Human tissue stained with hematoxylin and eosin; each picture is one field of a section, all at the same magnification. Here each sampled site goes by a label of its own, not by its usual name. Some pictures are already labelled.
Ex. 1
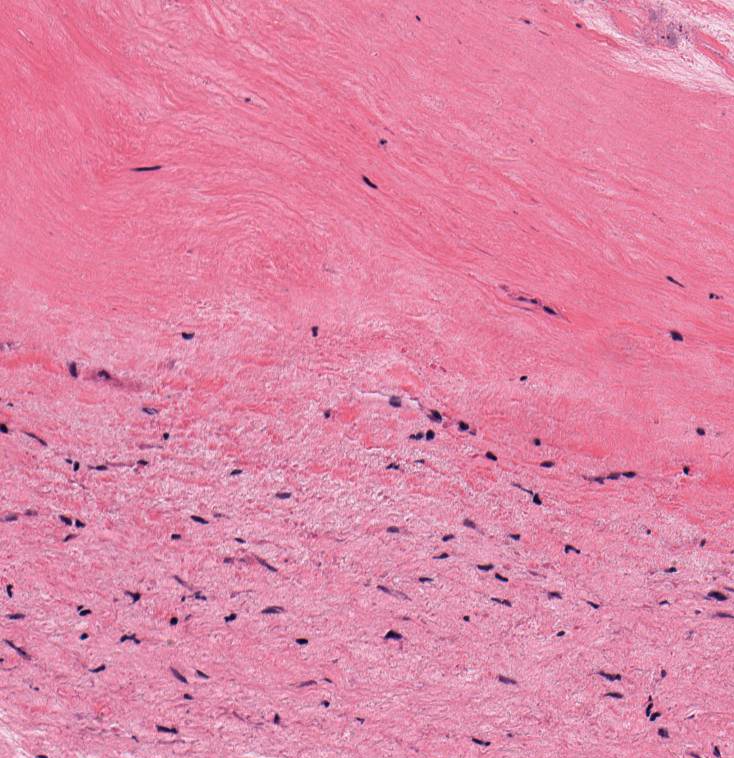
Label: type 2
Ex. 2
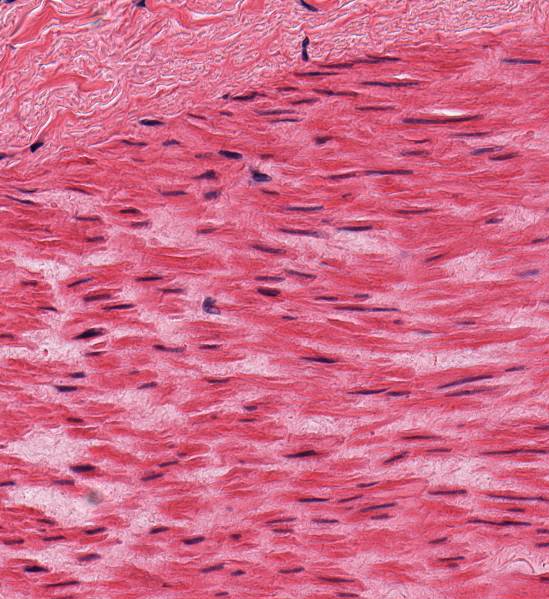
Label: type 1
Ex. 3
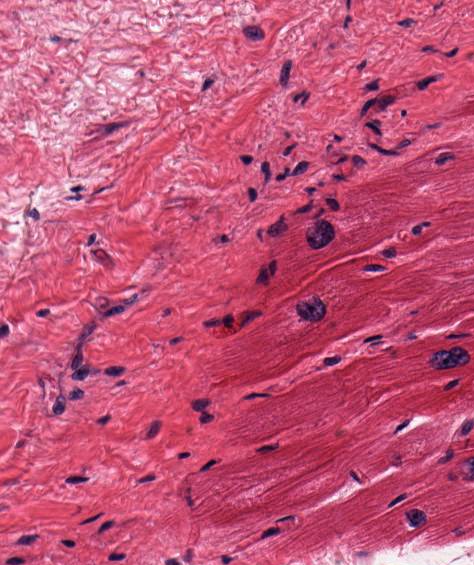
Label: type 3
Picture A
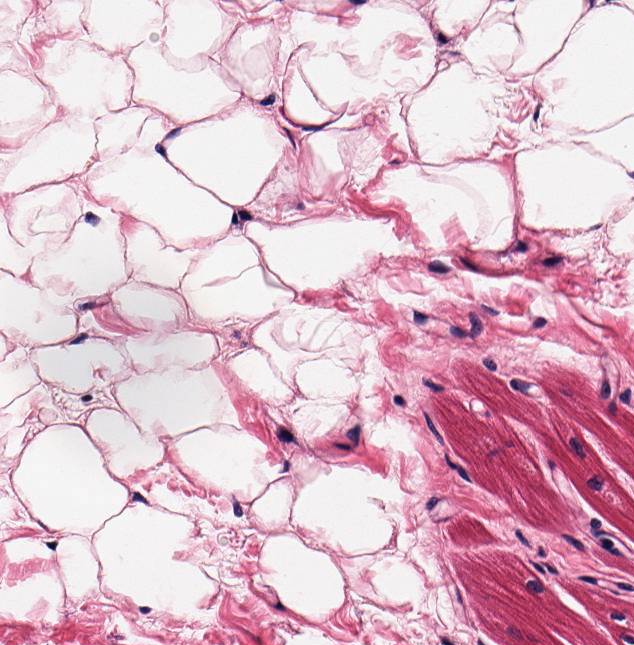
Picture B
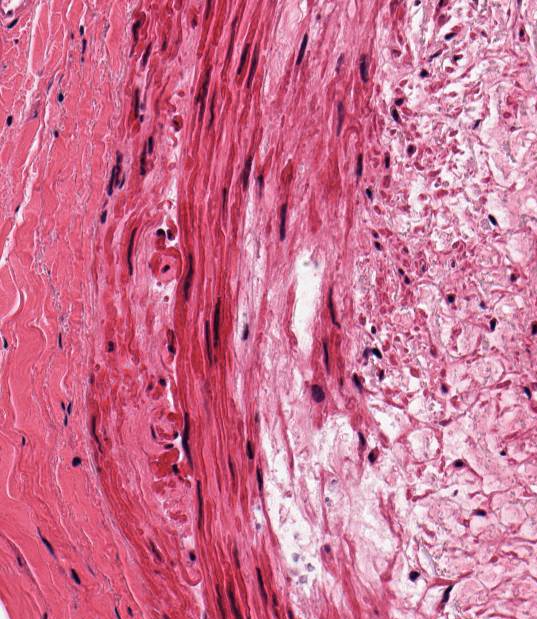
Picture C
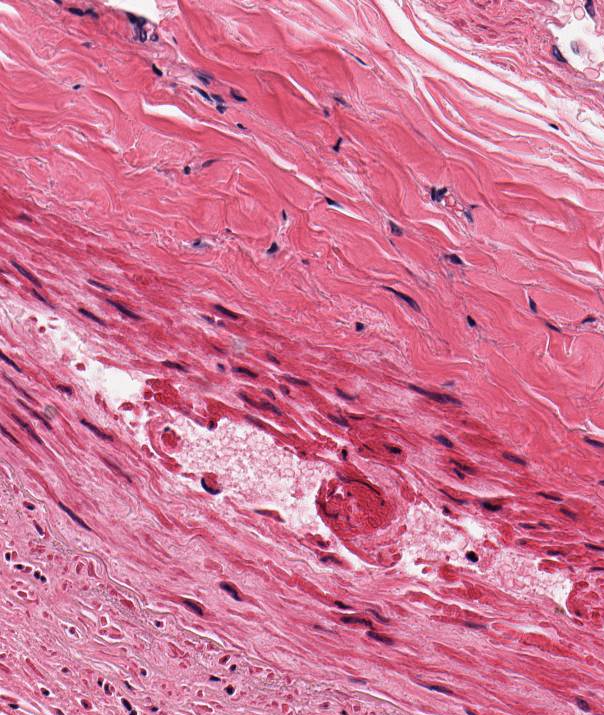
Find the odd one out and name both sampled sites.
Odd one out: A (type 3). The rest: type 2.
